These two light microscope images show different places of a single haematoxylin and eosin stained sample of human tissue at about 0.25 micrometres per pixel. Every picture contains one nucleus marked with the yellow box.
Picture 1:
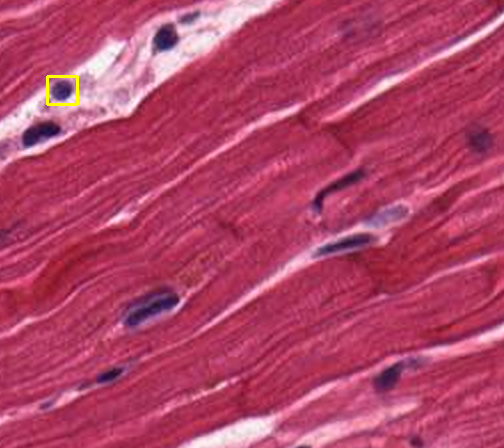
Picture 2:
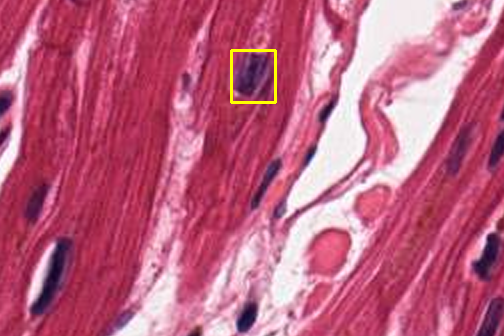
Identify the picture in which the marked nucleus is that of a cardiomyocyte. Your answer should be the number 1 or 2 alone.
2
